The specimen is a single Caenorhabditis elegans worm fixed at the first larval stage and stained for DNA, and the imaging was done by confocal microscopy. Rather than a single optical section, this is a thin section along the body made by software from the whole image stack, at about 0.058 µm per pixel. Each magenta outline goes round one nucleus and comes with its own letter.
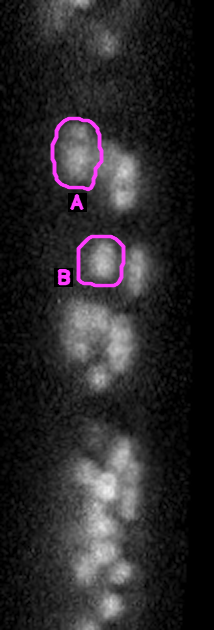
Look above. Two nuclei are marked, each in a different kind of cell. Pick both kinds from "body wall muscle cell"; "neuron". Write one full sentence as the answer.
A is the nucleus of a body wall muscle cell; B is the nucleus of a neuron.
